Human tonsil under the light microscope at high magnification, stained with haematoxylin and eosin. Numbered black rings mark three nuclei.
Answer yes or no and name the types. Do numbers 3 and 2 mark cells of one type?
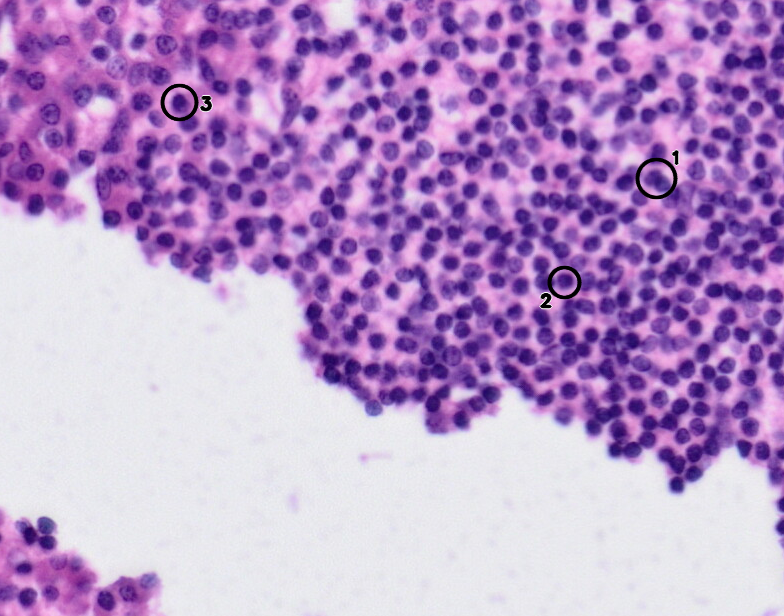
No, cell 3 is recognized as a plasma cell, and cell 2 as a small lymphocyte.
